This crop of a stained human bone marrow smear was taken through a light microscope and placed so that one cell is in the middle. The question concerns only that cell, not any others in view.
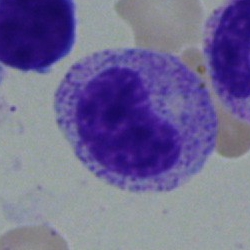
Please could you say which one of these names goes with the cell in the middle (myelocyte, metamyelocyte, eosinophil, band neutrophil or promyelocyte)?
metamyelocyte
